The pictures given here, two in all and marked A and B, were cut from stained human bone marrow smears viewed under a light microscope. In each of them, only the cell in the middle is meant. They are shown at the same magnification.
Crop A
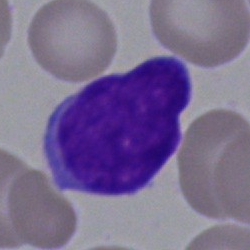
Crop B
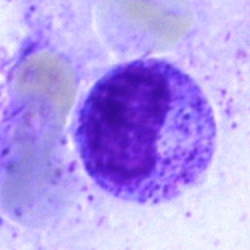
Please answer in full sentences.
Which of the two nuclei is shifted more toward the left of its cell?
The nucleus in crop B lies further toward the left of its cell.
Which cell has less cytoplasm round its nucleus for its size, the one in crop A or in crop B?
In crop A the nucleus takes up the larger part of its cell.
